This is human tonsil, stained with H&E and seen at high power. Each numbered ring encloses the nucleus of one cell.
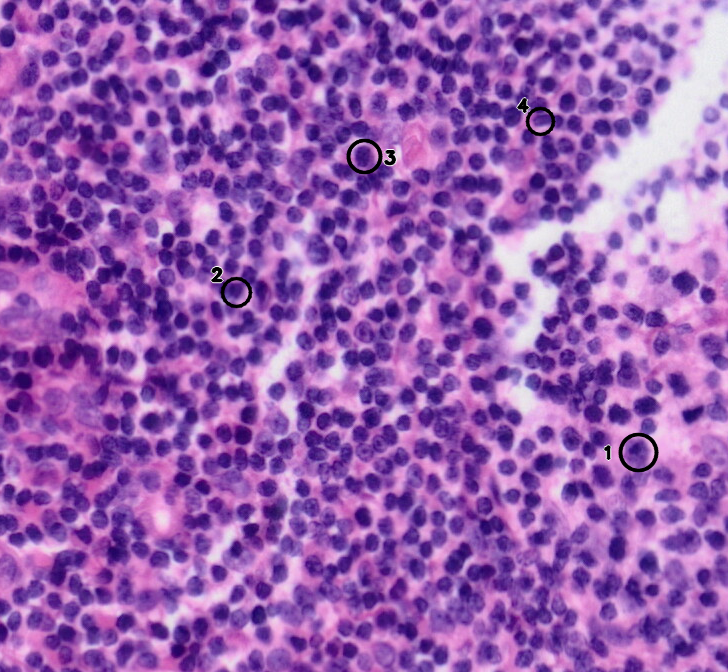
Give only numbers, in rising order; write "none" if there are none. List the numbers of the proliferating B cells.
1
